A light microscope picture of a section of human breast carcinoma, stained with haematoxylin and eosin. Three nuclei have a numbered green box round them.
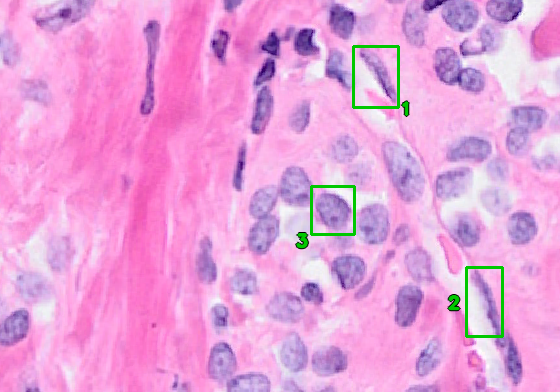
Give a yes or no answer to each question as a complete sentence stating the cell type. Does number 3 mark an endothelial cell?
No, the cell with number 3 is not an endothelial cell but a carcinoma cell.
